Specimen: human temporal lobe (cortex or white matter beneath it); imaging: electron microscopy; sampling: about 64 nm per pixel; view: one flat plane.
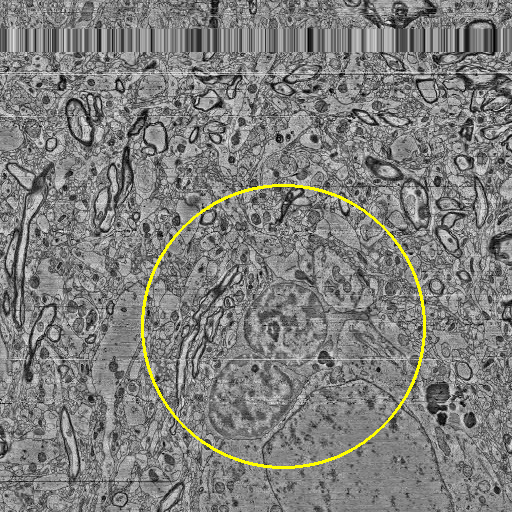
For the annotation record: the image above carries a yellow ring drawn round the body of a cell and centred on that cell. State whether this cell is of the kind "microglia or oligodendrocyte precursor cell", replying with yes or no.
No, this cell is of another kind.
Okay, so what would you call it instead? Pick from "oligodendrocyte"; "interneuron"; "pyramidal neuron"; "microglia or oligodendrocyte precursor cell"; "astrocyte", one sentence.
The correct answer is that the cell is an oligodendrocyte.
